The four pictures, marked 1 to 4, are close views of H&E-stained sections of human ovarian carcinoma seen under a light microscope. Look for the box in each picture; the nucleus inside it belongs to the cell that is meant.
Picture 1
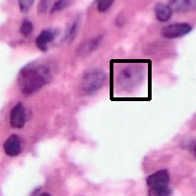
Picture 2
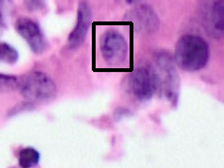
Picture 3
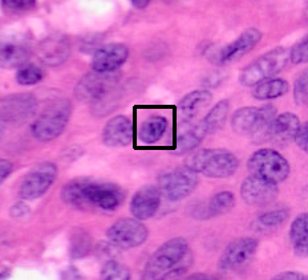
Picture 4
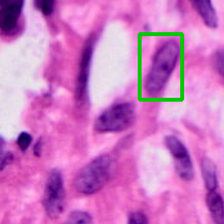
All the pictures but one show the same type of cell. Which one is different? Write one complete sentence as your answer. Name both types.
Picture 4 differs, because its cell is a fibroblast and the rest are “macrophages or monocytes”.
